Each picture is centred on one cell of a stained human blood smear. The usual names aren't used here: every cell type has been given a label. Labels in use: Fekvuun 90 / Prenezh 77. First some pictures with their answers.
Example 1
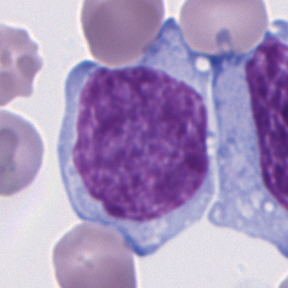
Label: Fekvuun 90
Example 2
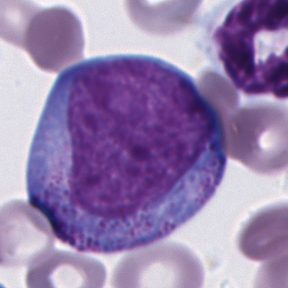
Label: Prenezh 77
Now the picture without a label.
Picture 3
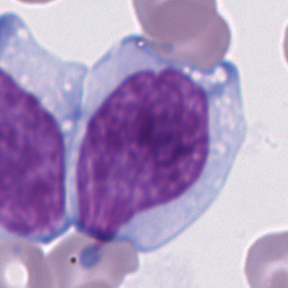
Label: Fekvuun 90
